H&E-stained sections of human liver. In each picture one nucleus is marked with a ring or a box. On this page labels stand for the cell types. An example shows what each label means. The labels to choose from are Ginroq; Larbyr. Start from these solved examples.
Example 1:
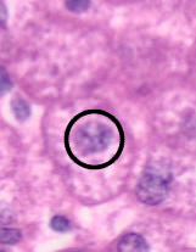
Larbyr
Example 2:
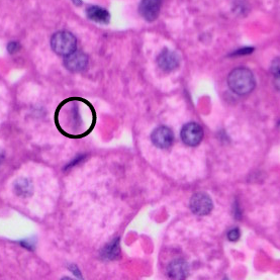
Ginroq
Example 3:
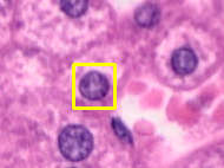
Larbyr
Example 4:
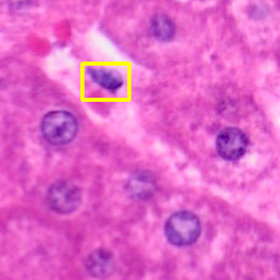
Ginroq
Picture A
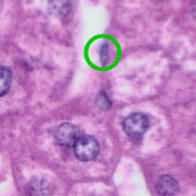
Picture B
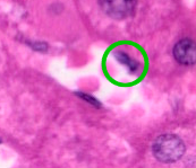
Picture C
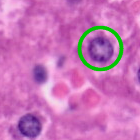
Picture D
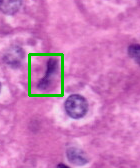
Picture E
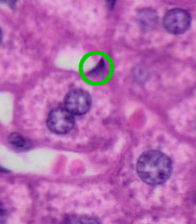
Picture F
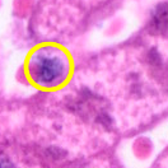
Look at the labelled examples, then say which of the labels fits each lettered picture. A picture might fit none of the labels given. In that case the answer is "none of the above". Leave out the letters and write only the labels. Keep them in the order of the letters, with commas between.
Ginroq, Ginroq, Larbyr, Ginroq, Ginroq, Ginroq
